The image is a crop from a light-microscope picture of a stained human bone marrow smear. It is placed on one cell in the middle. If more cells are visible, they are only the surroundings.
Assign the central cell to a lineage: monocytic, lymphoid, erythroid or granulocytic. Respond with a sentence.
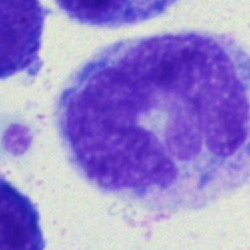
Here the cell at the center is of the monocytic lineage.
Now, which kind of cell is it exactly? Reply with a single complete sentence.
Present in the middle of the crop is a monocyte.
